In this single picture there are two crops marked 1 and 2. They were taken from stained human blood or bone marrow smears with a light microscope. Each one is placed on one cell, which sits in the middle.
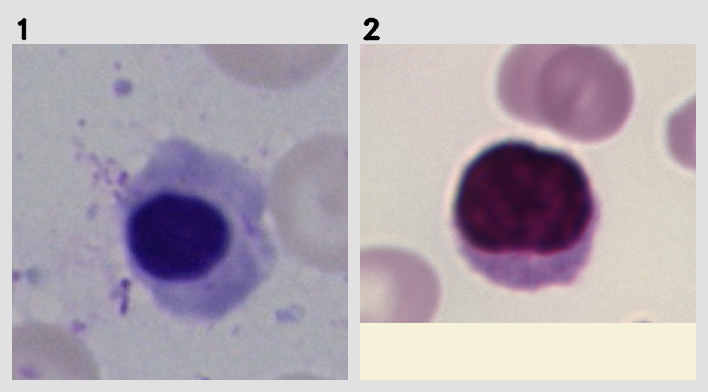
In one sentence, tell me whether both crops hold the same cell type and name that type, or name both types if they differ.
No, the cell centred in crop 2 is a lymphocyte; crop 1 centres on a normoblast.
